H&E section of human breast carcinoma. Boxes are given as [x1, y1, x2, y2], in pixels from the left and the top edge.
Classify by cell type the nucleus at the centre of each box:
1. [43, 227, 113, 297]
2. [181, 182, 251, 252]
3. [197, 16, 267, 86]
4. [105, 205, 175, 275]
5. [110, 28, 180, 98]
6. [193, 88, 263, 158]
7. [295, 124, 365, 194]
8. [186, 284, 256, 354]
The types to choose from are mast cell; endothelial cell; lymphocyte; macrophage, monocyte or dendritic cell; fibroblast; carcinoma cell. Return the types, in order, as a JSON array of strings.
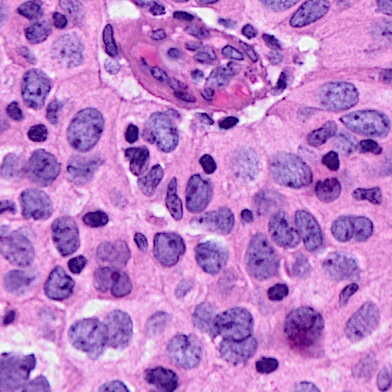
["lymphocyte", "carcinoma cell", "endothelial cell", "lymphocyte", "endothelial cell", "lymphocyte", "lymphocyte", "carcinoma cell"]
